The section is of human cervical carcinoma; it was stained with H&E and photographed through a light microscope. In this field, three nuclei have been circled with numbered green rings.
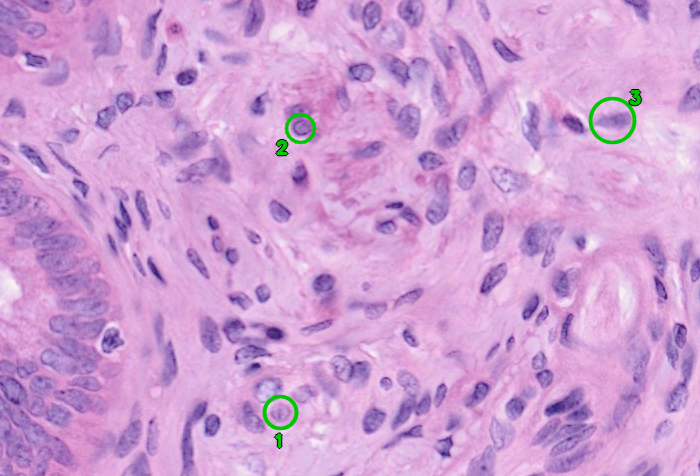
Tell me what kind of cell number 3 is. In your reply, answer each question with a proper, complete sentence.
The marked cell bearing number 3 is a fibroblast.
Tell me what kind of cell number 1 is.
The nucleus with number 1 is that of an endothelial cell.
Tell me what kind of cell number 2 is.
The numeral 2 marks a smooth muscle cell in this section.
